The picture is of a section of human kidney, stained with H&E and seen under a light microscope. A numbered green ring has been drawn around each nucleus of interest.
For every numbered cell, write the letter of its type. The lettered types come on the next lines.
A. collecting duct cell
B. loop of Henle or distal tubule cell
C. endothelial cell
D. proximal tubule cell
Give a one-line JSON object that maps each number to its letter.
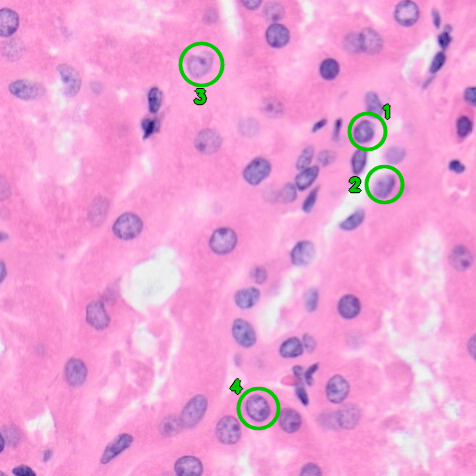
{"1": "A", "2": "A", "3": "D", "4": "D"}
